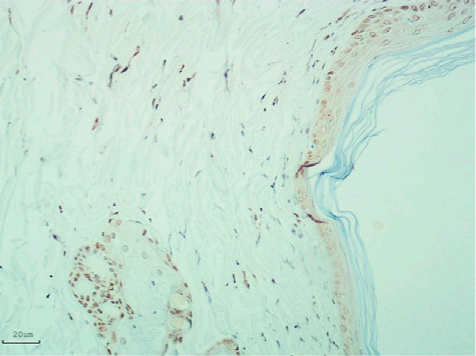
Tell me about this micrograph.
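Skin with the epidermis along the right edge, a stratified layer of keratinocytes whose nuclei are largely brown, covered by pale blue laminated layers. The dermis to its left is loose, pale collagen in which elongated, spindle-shaped fibroblasts lie scattered, many of them stained brown. At lower left a compact cluster of rounded cells with brown nuclei sits in the dermis.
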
